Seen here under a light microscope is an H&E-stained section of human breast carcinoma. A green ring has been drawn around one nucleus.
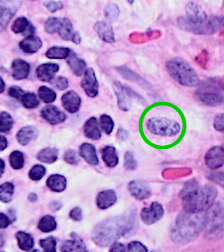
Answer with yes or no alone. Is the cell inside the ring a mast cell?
yes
